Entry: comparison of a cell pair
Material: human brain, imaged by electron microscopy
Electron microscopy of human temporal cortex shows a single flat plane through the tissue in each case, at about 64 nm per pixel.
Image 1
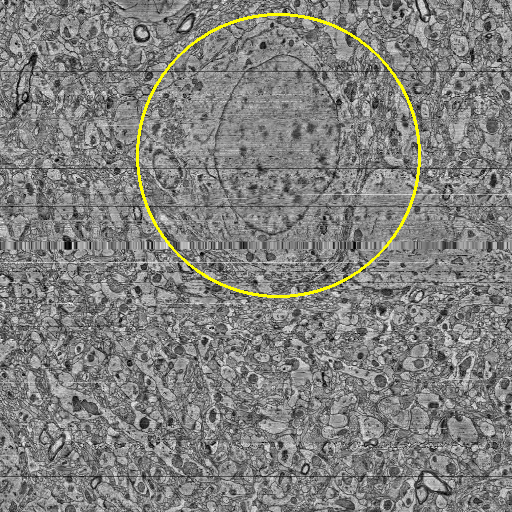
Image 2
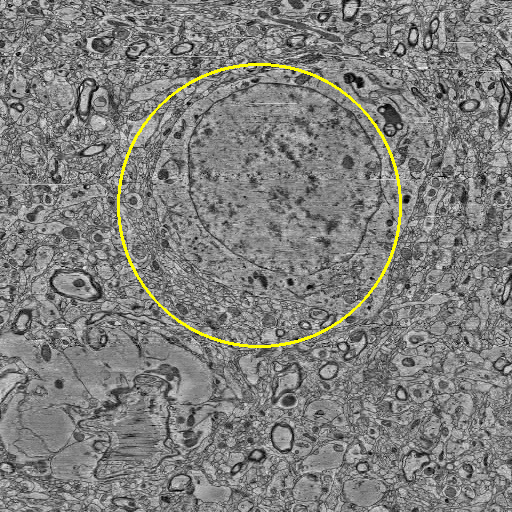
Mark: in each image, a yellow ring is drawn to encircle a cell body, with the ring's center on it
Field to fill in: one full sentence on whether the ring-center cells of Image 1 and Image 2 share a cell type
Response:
Yes, Image 1 and Image 2 each show a ring-center cell of one shared type.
